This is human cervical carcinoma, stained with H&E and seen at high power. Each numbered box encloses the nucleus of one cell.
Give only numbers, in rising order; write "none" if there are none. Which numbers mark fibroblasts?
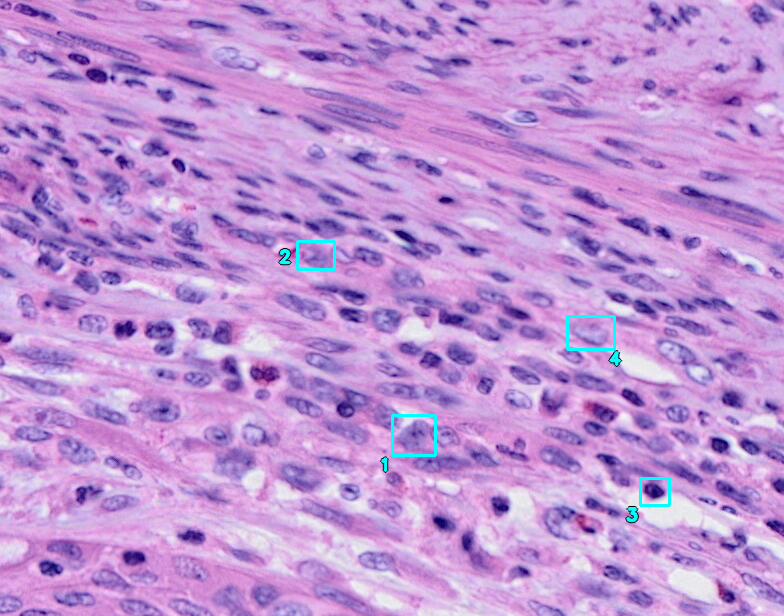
none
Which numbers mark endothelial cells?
1, 2, 4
